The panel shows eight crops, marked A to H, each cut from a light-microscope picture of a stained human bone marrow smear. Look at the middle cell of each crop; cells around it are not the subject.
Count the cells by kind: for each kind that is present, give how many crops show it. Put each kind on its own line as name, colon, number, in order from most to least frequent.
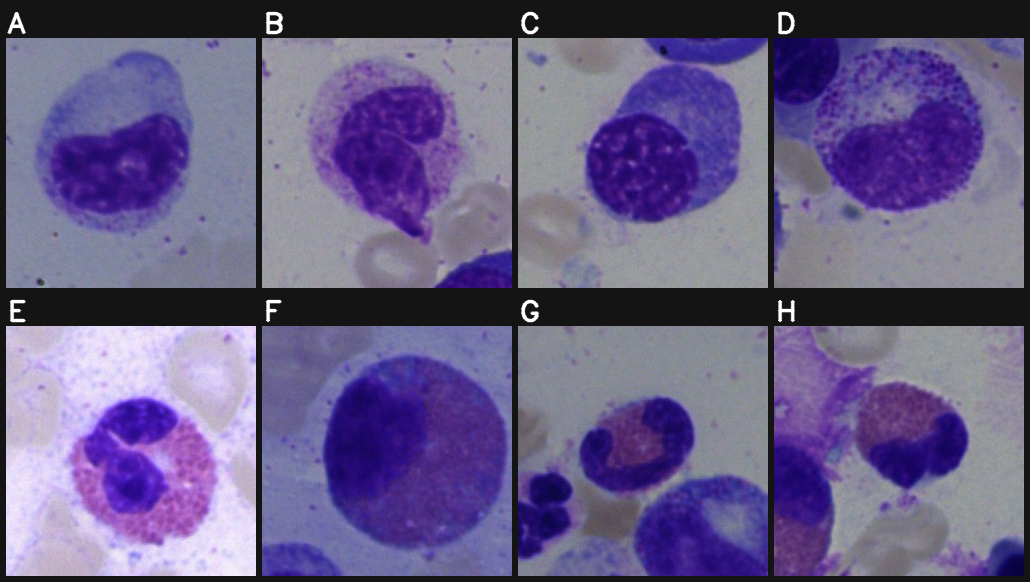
eosinophil: 4
metamyelocyte: 3
plasma cell: 1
